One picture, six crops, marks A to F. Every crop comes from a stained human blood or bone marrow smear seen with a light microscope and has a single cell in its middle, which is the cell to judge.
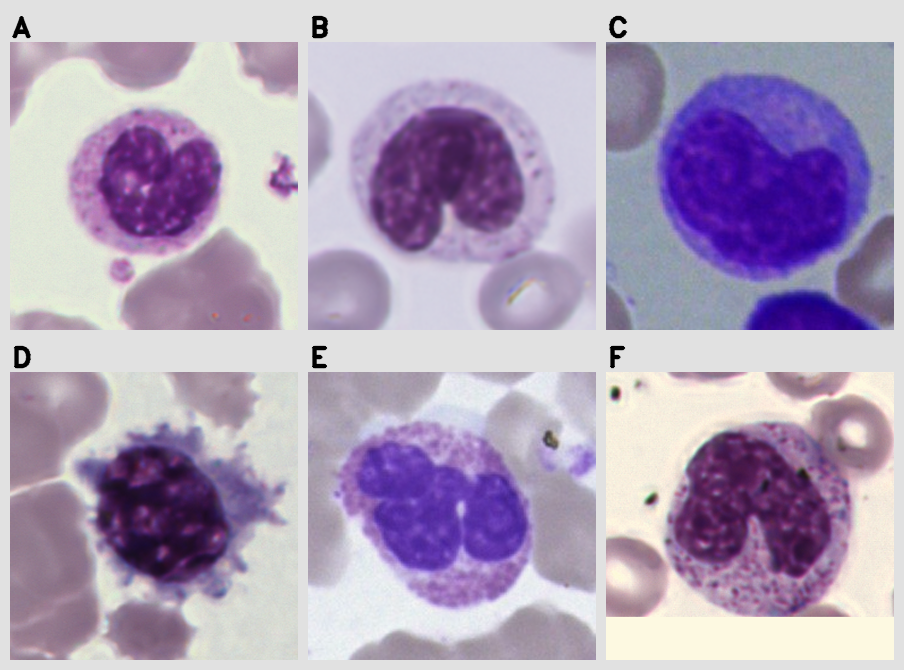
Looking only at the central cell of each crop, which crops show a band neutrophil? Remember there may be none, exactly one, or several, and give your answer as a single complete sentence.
On review, crops A, B and F show band neutrophils.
